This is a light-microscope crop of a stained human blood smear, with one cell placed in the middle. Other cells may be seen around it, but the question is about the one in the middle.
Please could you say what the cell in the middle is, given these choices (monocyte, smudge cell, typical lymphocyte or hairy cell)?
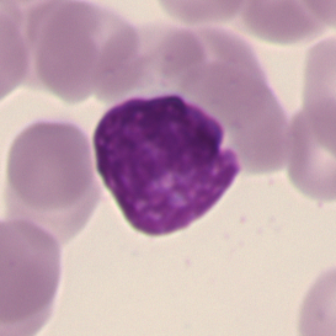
smudge cell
